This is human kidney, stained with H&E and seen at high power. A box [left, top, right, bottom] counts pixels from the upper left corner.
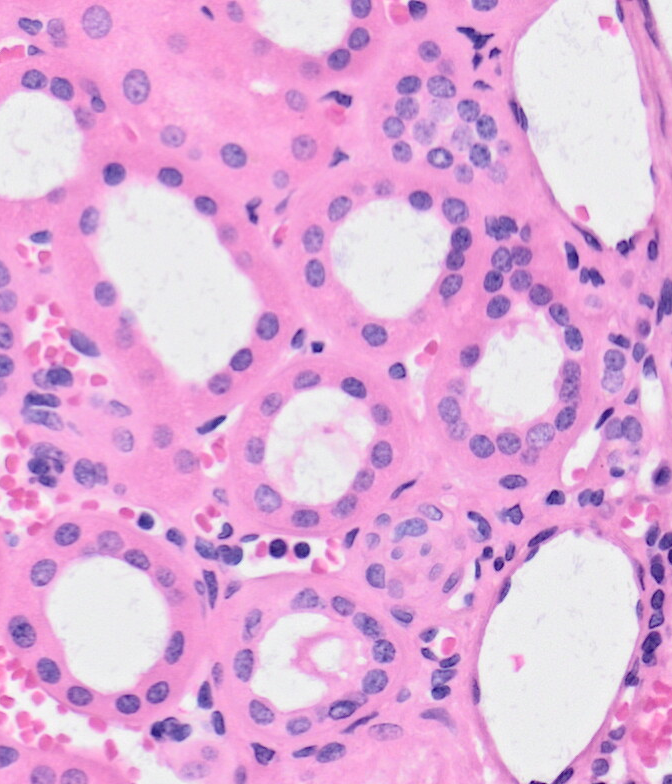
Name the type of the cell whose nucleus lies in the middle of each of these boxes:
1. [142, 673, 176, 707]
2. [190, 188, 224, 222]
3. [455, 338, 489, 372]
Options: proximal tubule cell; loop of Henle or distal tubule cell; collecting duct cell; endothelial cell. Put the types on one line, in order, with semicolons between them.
collecting duct cell; loop of Henle or distal tubule cell; loop of Henle or distal tubule cell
